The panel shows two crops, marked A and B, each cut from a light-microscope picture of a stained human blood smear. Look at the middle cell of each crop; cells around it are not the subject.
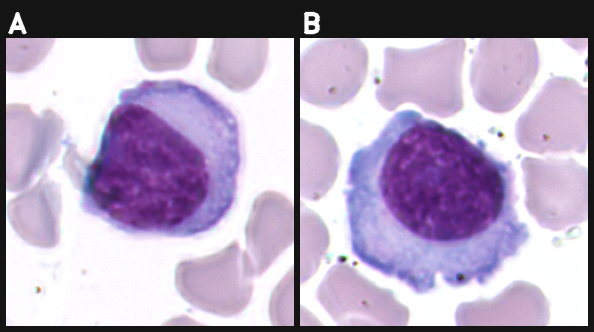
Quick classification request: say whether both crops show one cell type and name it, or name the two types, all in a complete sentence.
Yes, plasma cells are the central cells in the two crops.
